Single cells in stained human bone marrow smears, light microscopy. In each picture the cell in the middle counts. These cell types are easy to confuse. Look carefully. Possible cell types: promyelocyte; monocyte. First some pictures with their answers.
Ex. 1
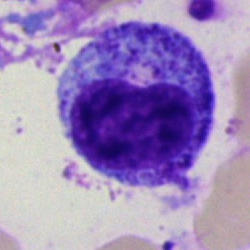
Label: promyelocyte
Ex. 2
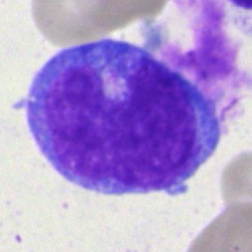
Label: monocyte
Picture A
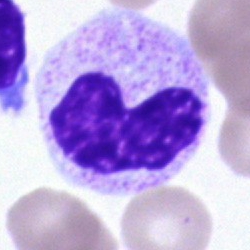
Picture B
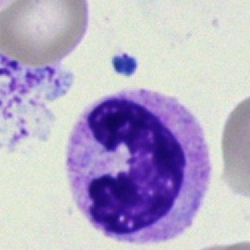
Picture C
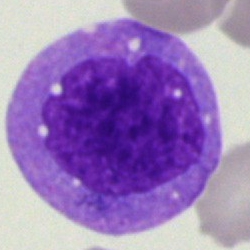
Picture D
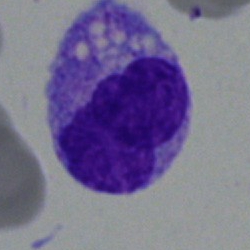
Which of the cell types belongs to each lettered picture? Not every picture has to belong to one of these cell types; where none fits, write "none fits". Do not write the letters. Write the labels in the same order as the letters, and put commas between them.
none fits, none fits, monocyte, monocyte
